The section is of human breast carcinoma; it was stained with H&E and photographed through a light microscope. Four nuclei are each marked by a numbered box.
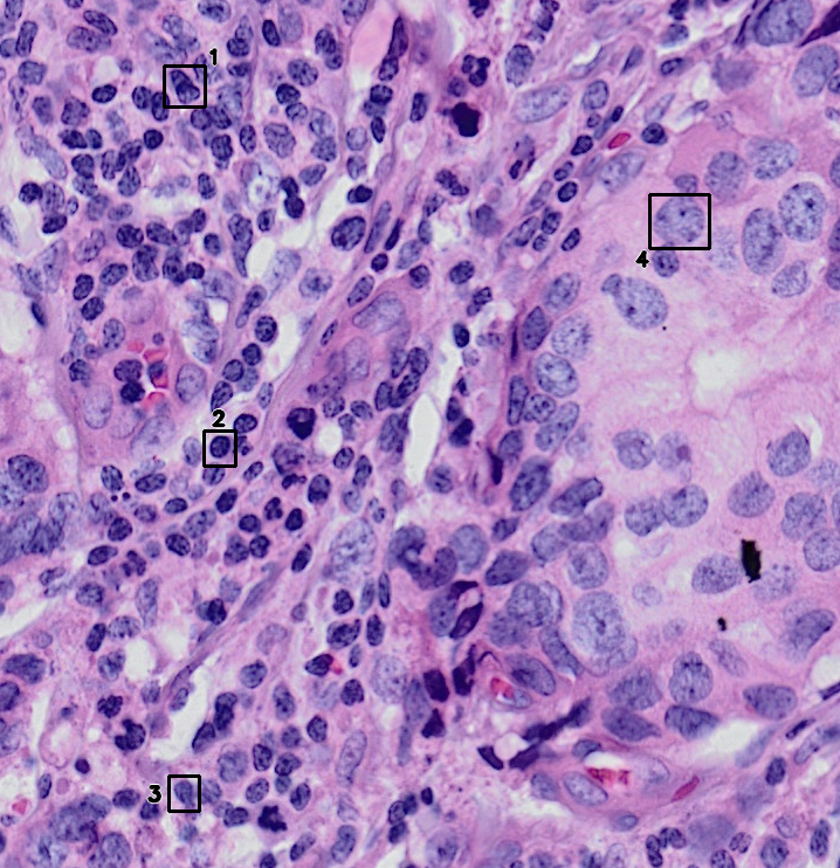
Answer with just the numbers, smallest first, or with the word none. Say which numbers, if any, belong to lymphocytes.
1, 2, 3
